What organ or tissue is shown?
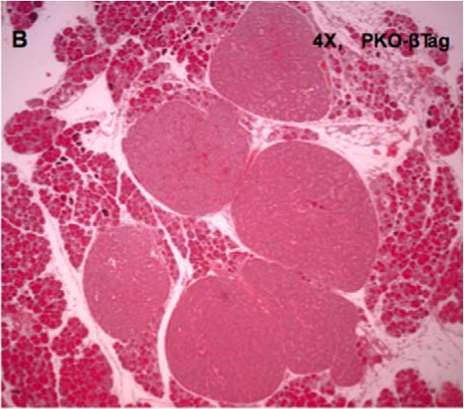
Insulinomas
